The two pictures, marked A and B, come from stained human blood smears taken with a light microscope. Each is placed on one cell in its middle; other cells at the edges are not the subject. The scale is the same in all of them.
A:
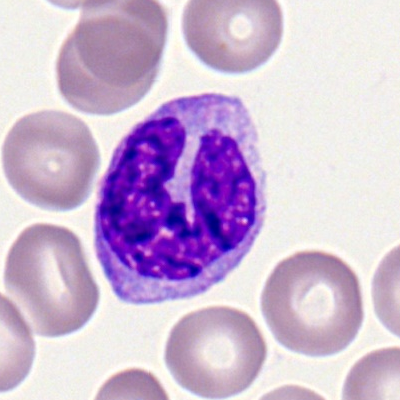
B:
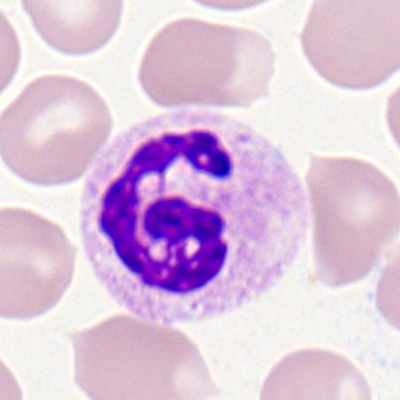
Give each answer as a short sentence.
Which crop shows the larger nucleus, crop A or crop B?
The nucleus in crop A is larger, with about 1.5 times the area of the one in crop B.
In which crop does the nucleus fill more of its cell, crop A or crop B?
The nucleus fills more of the cell in crop A than in crop B.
